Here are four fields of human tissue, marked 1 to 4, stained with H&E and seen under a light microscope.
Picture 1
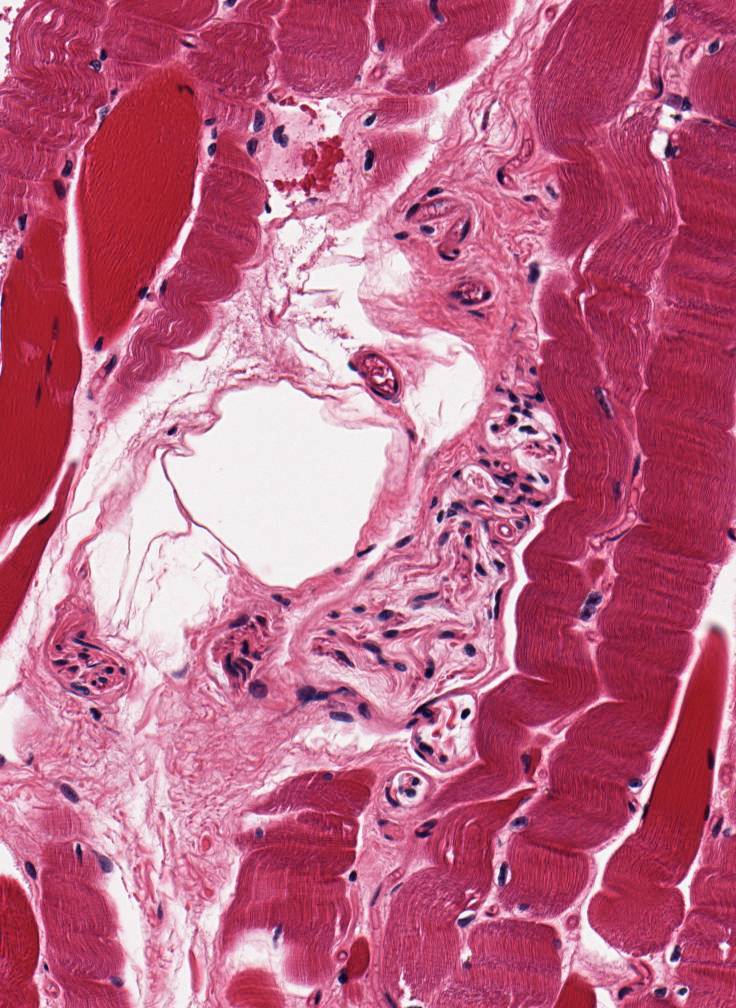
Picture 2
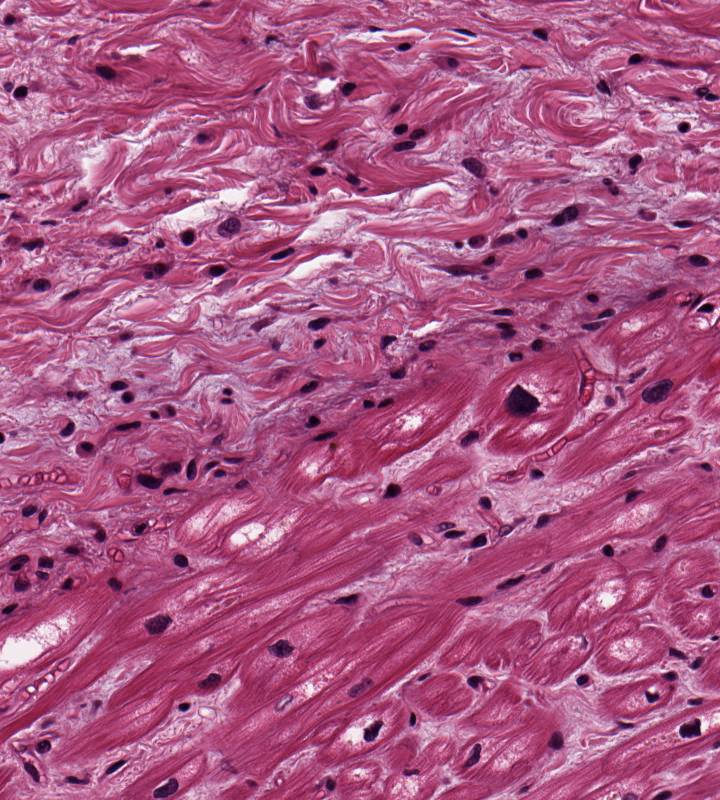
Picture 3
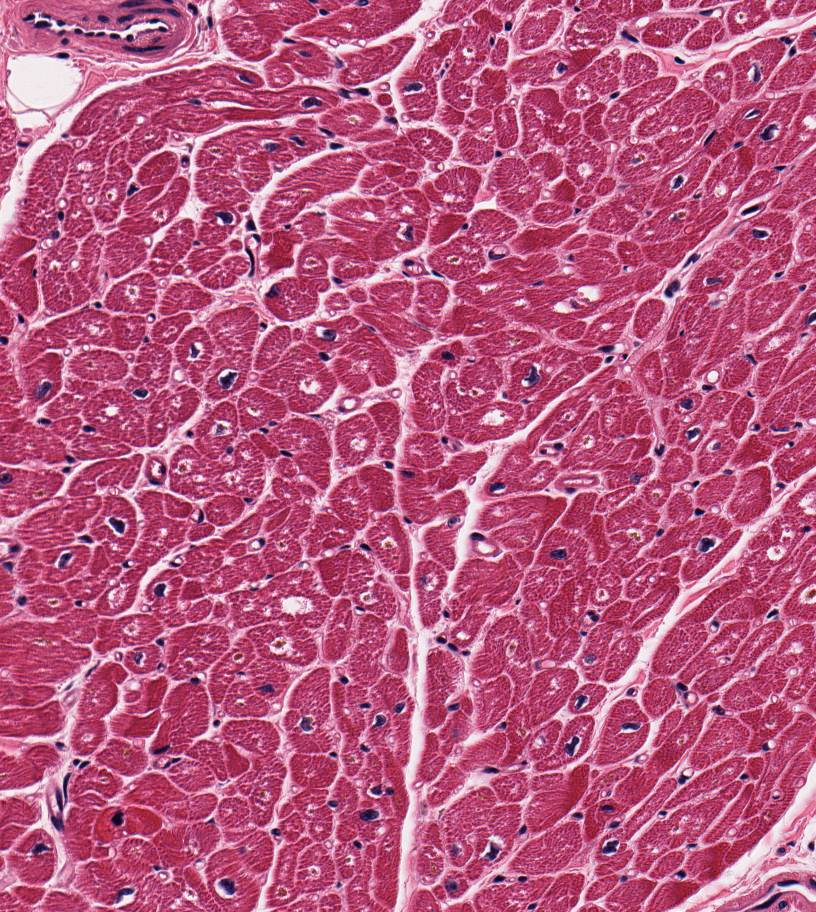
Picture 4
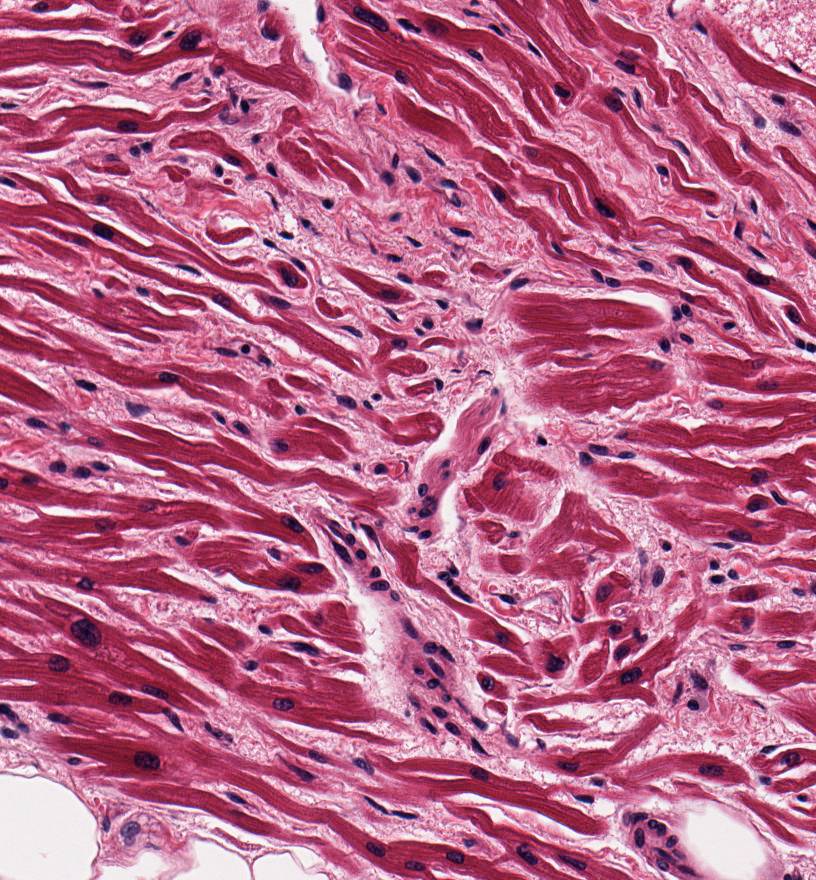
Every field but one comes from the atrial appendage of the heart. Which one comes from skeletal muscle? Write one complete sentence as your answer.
Picture 1 comes from skeletal muscle.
